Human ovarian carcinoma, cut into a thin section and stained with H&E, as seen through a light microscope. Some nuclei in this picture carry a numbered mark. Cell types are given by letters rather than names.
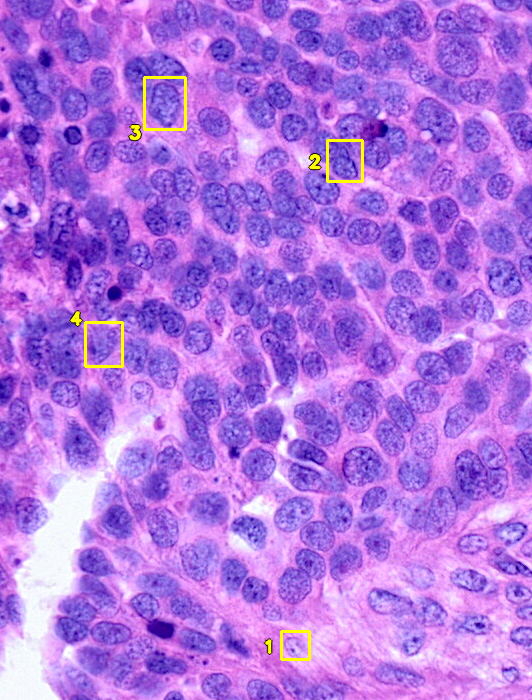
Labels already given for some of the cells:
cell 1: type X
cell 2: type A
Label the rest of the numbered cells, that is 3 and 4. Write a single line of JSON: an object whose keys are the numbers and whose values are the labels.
{"3": "type A", "4": "type A"}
